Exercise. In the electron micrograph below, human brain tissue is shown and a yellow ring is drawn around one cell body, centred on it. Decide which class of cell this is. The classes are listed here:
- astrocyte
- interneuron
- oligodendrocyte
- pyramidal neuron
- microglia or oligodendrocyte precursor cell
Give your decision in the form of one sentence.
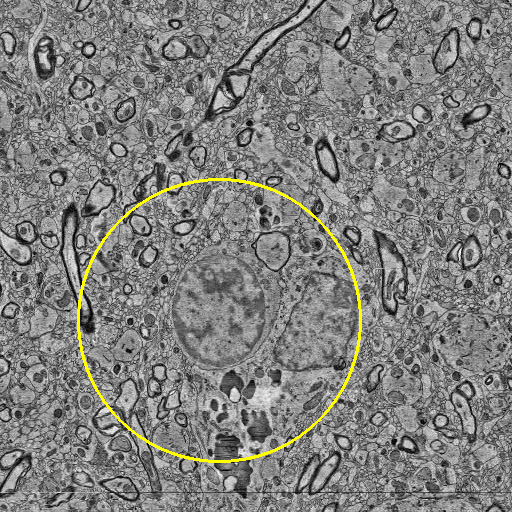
The cell body marked by the ring belongs to an oligodendrocyte.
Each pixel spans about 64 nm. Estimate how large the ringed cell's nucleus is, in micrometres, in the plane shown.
Roughly 7 by 6 micrometres in this plane, for the nucleus of the ringed cell.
